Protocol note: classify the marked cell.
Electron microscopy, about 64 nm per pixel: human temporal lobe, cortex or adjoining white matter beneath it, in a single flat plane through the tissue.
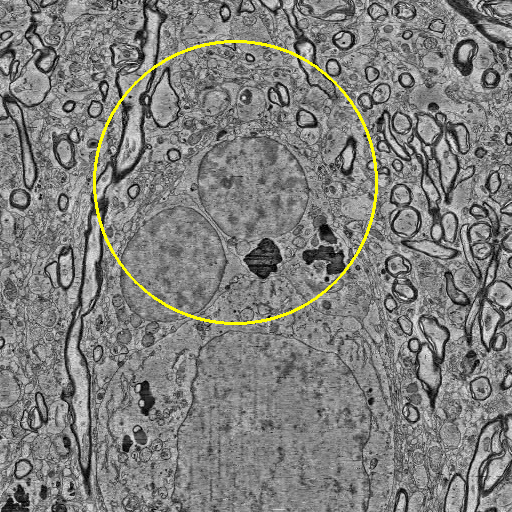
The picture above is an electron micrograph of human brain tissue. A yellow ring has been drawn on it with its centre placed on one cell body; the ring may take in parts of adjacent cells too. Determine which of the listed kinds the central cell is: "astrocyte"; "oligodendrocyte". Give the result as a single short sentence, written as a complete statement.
The central cell is an oligodendrocyte.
